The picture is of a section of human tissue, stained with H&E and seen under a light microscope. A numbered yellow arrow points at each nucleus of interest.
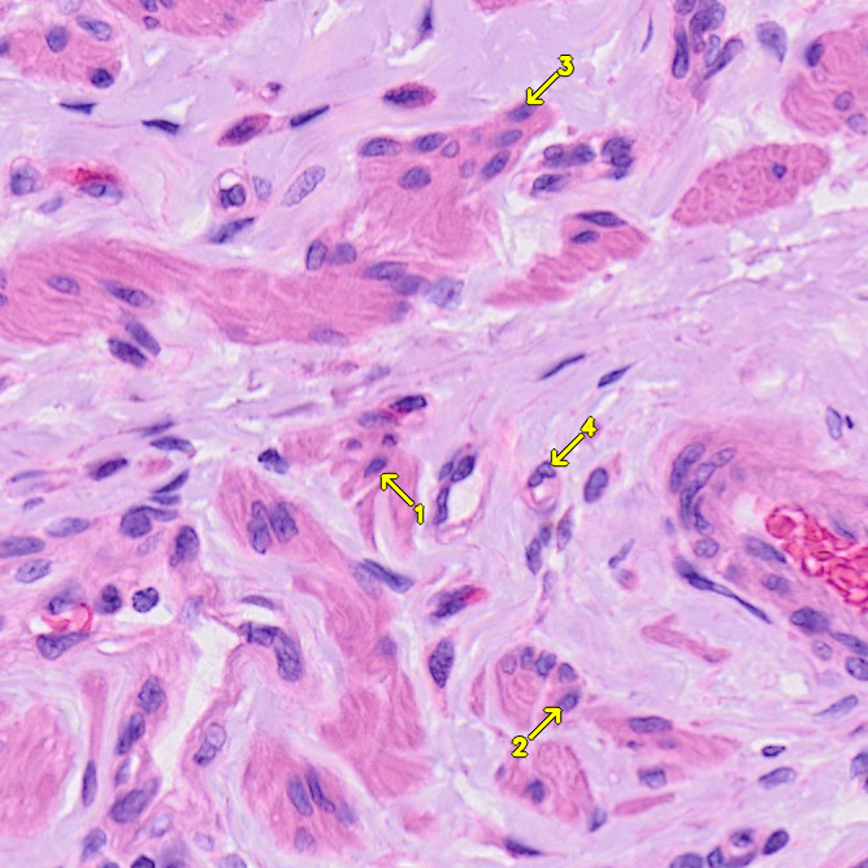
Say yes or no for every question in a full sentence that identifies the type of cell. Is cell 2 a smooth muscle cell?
Yes, with respect to number 2, the cell is a smooth muscle cell.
